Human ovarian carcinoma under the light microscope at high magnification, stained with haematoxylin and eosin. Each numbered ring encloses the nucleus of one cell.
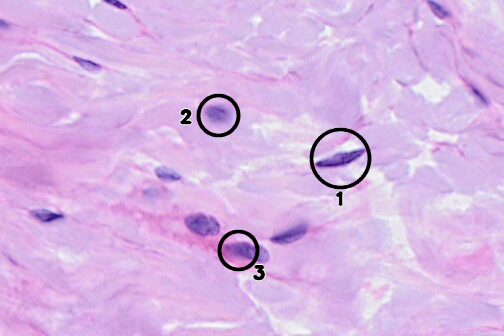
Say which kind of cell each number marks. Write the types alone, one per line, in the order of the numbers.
fibroblast
fibroblast
smooth muscle cell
